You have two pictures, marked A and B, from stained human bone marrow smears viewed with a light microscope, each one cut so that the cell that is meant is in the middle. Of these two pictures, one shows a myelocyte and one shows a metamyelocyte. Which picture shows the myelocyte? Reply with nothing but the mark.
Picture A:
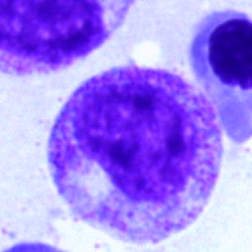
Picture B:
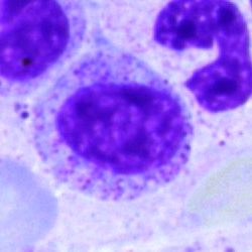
B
